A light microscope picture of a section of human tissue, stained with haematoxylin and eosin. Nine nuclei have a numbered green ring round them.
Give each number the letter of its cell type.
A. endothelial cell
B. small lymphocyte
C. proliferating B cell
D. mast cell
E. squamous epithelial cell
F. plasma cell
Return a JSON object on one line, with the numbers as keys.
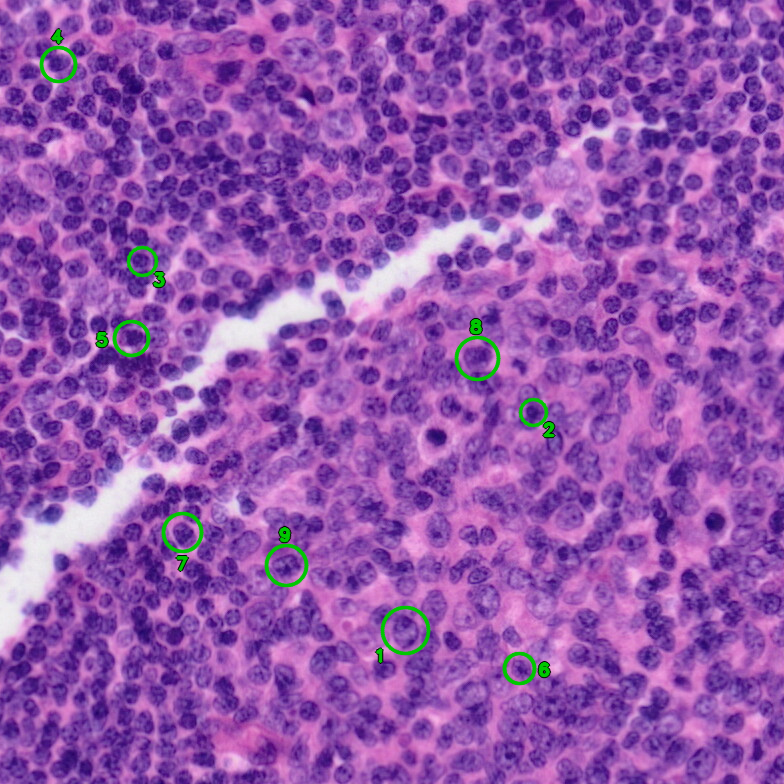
{"1": "C", "2": "C", "3": "B", "4": "B", "5": "B", "6": "C", "7": "B", "8": "C", "9": "C"}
